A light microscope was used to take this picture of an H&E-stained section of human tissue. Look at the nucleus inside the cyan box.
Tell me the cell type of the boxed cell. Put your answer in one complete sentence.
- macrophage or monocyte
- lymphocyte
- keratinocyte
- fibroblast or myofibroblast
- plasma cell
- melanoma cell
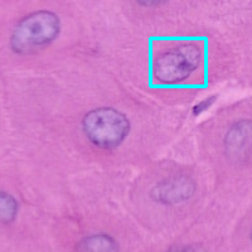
It is a keratinocyte that the boxed cell represents.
